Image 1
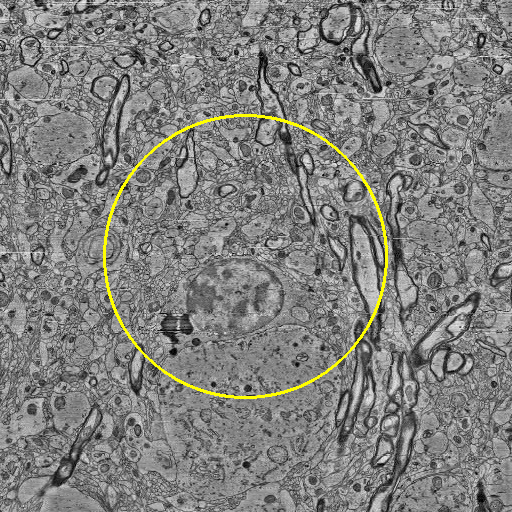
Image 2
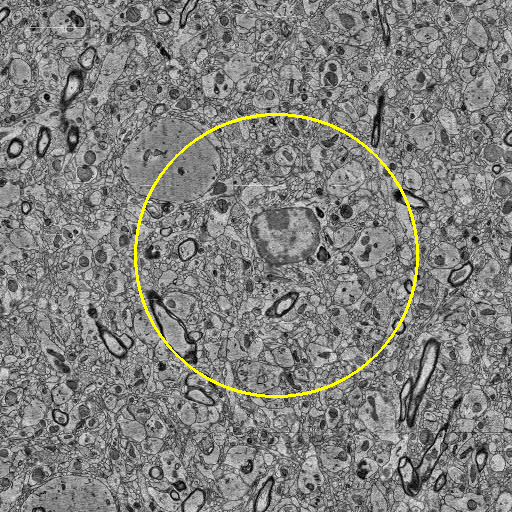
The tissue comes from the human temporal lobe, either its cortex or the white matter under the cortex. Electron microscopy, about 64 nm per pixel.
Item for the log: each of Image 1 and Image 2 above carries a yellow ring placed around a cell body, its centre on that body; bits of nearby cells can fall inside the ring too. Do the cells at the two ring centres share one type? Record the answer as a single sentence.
No, the two cells at the ring centres in Image 1 and Image 2 are of two types.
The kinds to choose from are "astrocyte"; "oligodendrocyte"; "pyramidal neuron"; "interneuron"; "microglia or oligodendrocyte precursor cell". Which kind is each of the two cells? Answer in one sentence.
Of the two, the first cell is an oligodendrocyte and the second cell is a microglial cell or oligodendrocyte precursor cell.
